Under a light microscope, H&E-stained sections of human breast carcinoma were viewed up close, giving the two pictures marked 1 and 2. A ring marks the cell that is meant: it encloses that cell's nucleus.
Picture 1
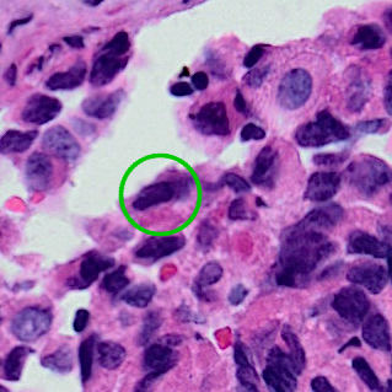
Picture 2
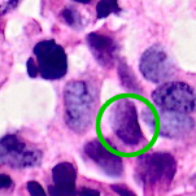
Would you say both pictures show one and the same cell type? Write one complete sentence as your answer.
Yes; the cells in both pictures are carcinoma cells.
